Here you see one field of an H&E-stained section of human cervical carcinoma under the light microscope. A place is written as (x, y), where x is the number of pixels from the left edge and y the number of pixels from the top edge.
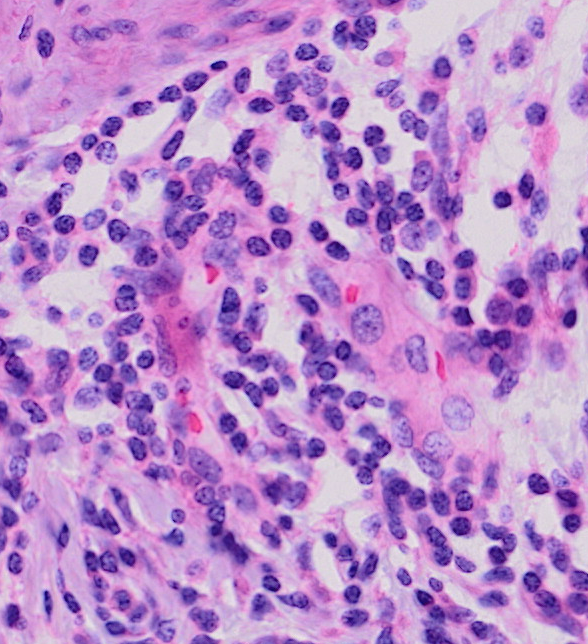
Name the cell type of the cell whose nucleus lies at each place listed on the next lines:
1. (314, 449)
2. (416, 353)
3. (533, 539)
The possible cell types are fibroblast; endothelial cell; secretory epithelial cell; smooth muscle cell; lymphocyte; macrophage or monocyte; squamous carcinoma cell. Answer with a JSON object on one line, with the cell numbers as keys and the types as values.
{"1": "lymphocyte", "2": "endothelial cell", "3": "lymphocyte"}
